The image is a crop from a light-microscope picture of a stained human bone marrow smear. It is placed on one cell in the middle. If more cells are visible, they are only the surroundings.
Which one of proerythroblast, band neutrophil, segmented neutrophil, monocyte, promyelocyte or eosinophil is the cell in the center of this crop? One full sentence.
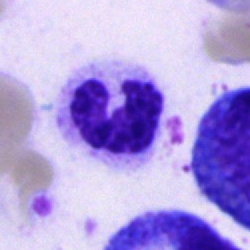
The cell centered in this field of view is a segmented neutrophil.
